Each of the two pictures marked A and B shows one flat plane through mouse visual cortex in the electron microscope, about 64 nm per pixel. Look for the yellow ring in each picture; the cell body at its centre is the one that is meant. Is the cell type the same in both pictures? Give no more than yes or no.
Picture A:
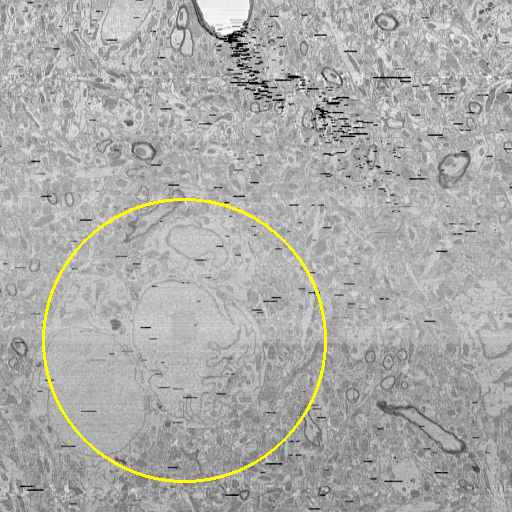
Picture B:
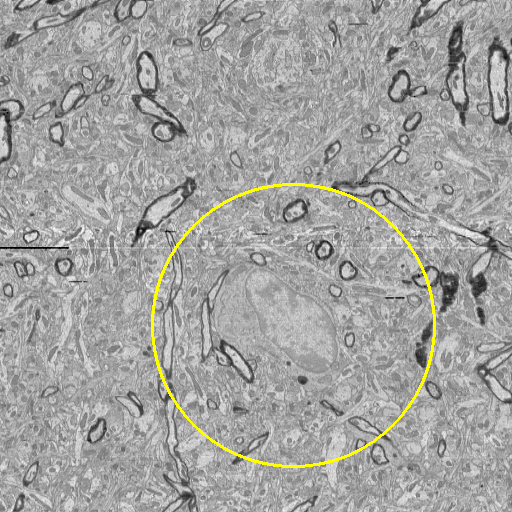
no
